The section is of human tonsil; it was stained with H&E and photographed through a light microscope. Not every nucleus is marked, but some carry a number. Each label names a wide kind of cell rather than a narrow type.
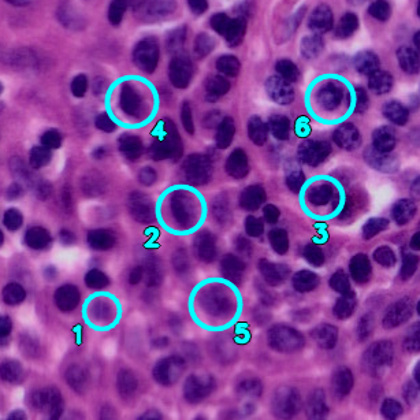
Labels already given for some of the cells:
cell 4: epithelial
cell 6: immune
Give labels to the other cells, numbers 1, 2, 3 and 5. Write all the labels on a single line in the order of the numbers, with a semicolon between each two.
epithelial; epithelial; immune; epithelial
